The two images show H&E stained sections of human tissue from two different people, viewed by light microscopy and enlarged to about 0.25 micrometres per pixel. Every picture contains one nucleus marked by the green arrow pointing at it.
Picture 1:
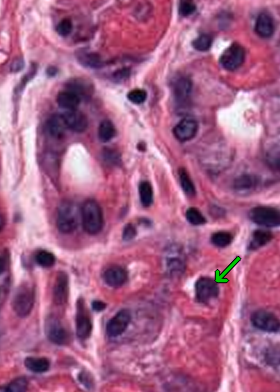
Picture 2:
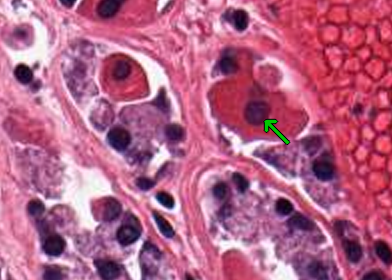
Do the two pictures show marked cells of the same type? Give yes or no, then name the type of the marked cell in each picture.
Yes, both are parietal cells.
